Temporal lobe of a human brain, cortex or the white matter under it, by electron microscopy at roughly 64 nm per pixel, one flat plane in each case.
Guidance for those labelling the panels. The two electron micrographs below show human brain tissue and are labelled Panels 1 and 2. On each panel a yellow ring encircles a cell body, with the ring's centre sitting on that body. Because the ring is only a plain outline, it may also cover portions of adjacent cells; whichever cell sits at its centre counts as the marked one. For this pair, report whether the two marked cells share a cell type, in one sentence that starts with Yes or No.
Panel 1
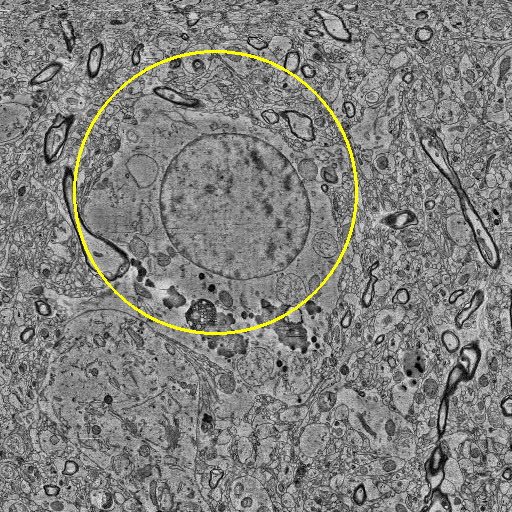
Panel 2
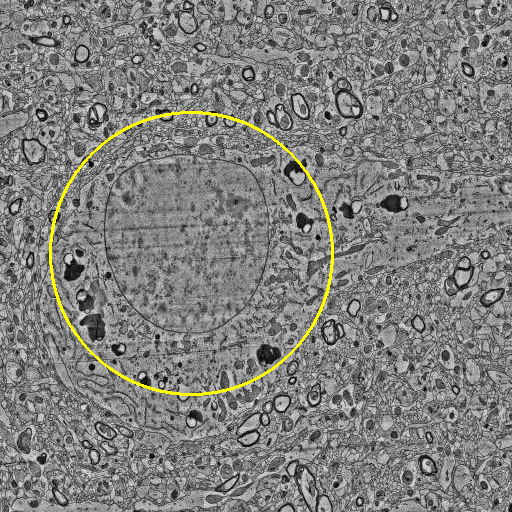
No, in Panel 1 and Panel 2 the marked cells at the ring centres are of two types.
